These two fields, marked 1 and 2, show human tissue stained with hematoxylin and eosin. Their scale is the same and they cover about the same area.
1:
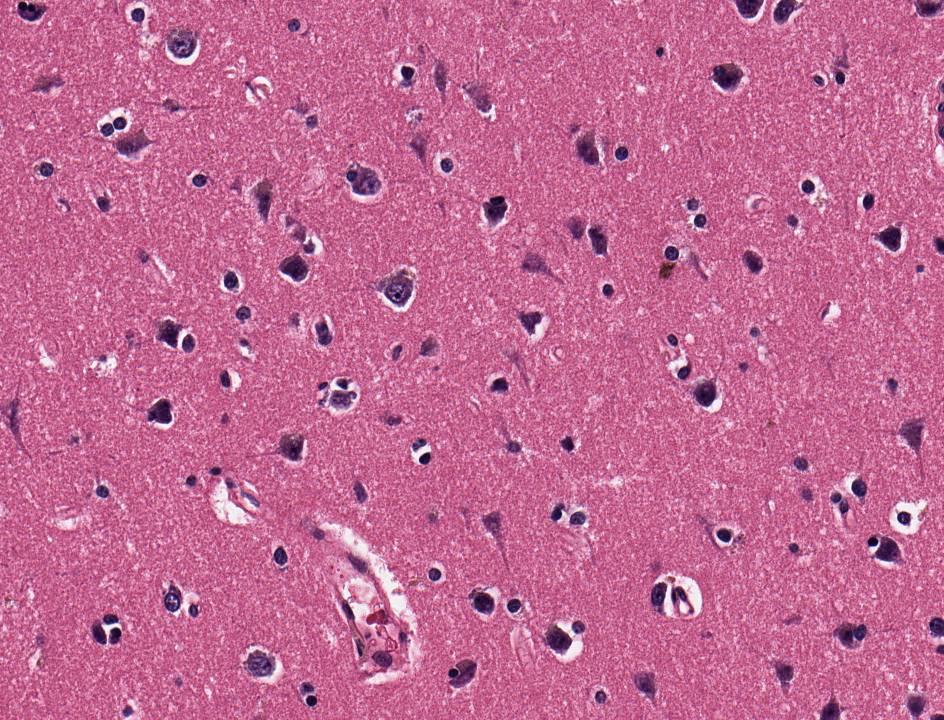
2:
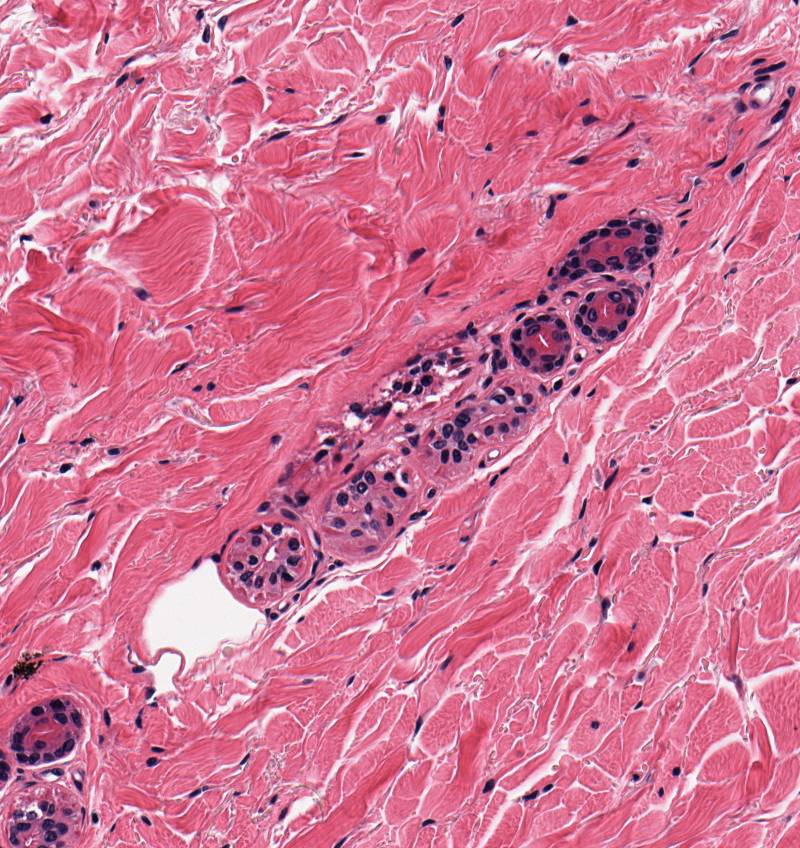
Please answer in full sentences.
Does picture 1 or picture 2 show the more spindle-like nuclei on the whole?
Longer, more slender nuclei lie in picture 2.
